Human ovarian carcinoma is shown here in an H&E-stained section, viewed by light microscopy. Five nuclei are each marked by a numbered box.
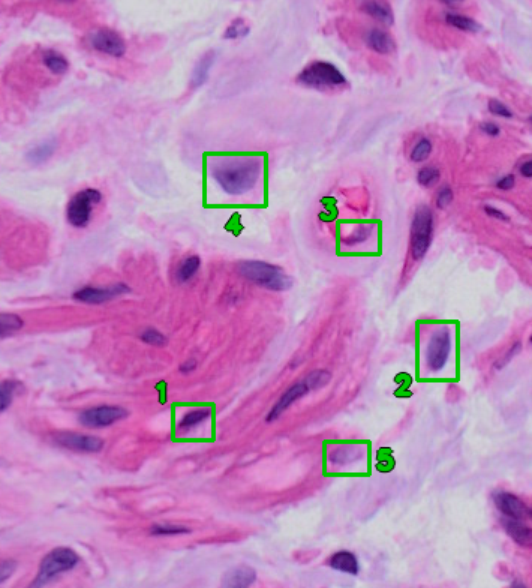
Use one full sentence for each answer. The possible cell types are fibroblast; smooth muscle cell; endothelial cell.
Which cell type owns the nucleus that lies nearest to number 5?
The nucleus nearest to number 5 is that of a smooth muscle cell.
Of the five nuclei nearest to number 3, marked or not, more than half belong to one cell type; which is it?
Smooth muscle cells account for more than half of the five nuclei nearest to number 3.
